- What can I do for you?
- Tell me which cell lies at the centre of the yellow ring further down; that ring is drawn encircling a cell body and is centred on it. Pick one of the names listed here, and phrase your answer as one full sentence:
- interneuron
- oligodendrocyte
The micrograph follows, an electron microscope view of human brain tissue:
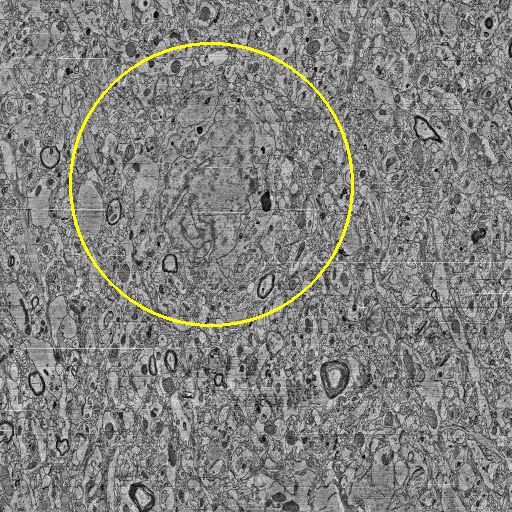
The cell whose body lies at the centre of the yellow ring is an interneuron.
